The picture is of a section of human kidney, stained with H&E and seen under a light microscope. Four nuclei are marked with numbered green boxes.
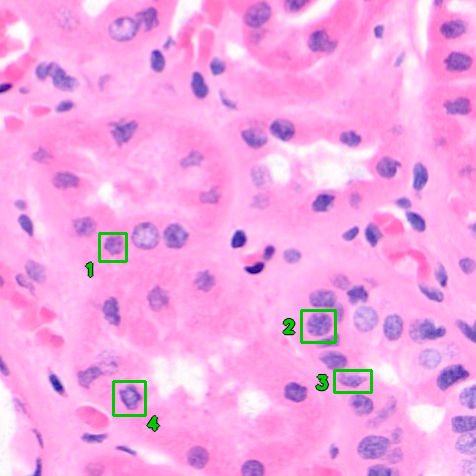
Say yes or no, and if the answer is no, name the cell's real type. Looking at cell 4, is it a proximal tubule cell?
Yes.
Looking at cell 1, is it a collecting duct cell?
No, it is a proximal tubule cell.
